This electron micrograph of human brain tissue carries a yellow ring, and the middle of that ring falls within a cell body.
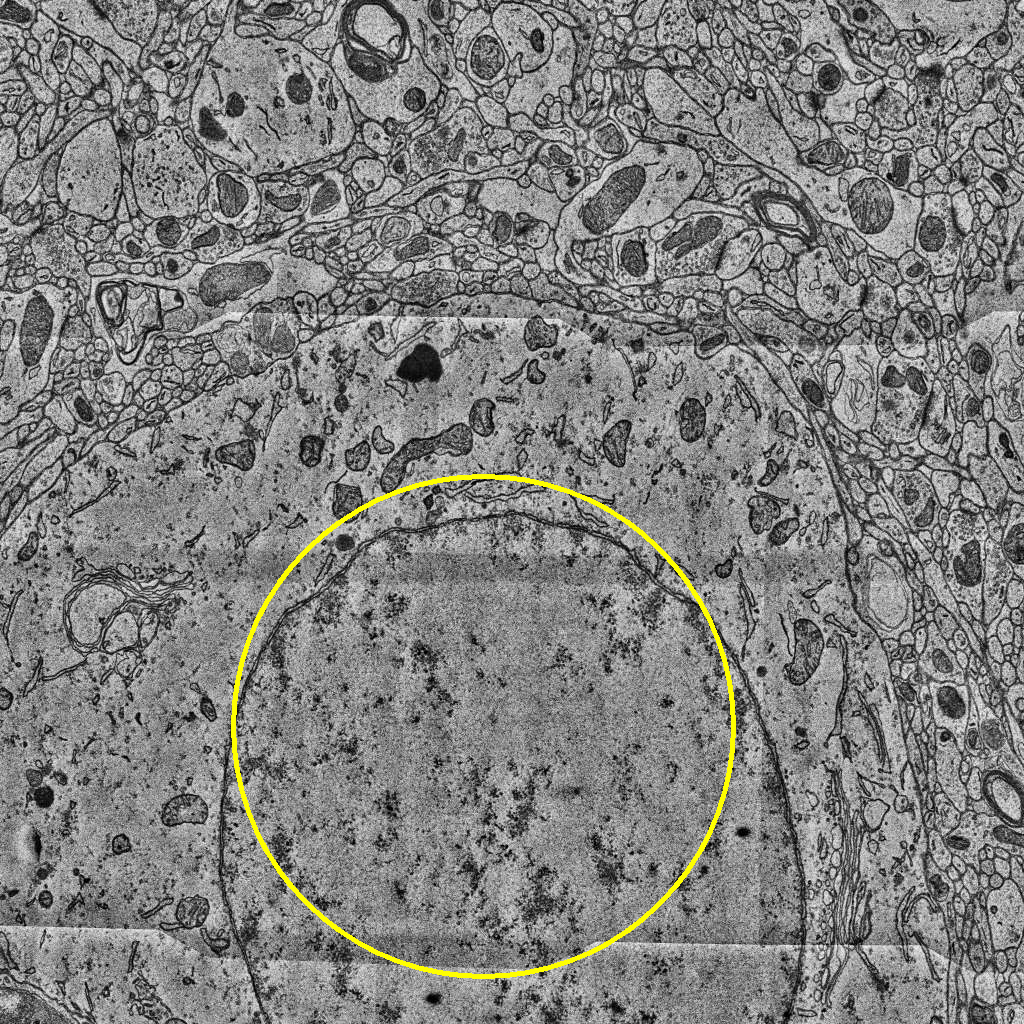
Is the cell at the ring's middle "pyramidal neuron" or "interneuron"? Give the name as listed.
pyramidal neuron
